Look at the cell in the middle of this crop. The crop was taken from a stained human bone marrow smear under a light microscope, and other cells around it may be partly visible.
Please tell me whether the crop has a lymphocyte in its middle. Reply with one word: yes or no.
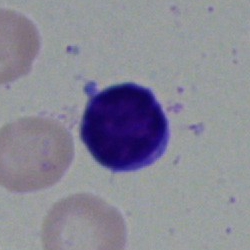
yes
